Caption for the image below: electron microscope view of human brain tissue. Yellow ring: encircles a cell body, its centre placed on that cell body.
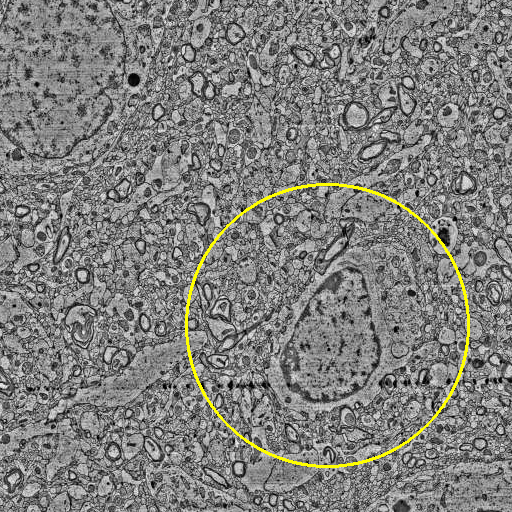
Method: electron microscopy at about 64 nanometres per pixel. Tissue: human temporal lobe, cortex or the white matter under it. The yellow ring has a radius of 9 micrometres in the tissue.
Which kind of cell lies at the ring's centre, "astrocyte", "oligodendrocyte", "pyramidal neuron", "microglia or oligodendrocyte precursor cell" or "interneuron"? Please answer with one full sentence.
The picture shows a microglial cell or oligodendrocyte precursor cell at the centre of the yellow ring.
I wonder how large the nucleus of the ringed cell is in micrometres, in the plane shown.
In this plane, the nucleus of the cell at the centre of the ring measures about 9 by 6 micrometres.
